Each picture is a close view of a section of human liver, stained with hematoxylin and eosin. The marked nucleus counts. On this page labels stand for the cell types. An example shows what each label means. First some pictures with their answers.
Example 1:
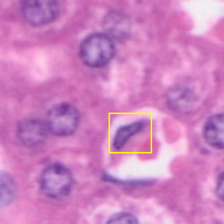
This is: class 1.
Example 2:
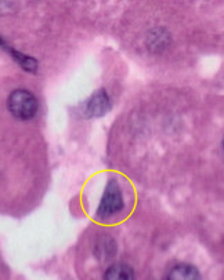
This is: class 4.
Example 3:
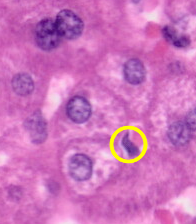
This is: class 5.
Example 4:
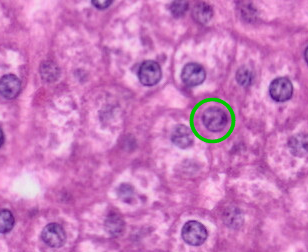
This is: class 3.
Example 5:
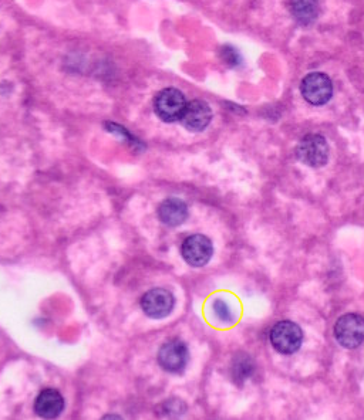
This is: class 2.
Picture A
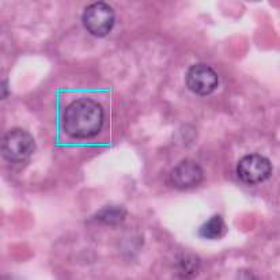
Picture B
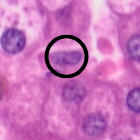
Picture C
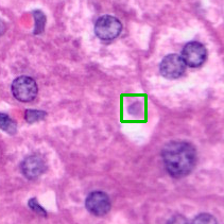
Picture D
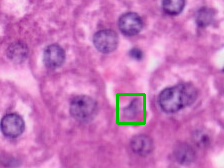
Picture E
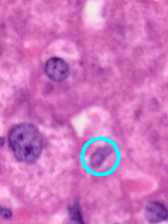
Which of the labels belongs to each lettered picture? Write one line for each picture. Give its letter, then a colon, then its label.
A: class 3.
B: class 1.
C: class 1.
D: class 1.
E: class 1.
